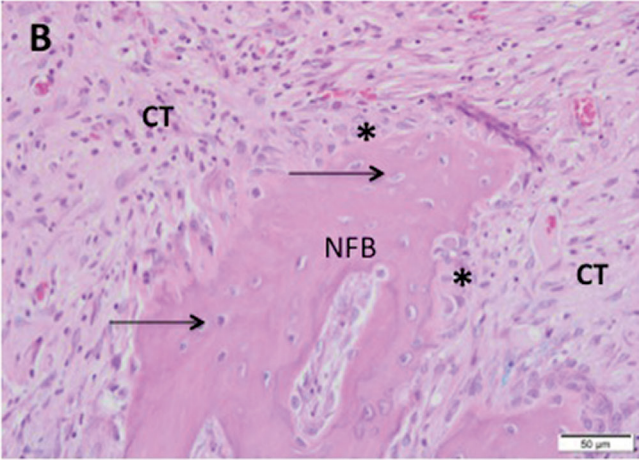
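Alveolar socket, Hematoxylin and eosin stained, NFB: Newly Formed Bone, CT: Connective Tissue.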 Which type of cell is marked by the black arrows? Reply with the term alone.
Osteocytes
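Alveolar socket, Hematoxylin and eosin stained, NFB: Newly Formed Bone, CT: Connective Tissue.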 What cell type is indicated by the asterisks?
Osteoblasts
